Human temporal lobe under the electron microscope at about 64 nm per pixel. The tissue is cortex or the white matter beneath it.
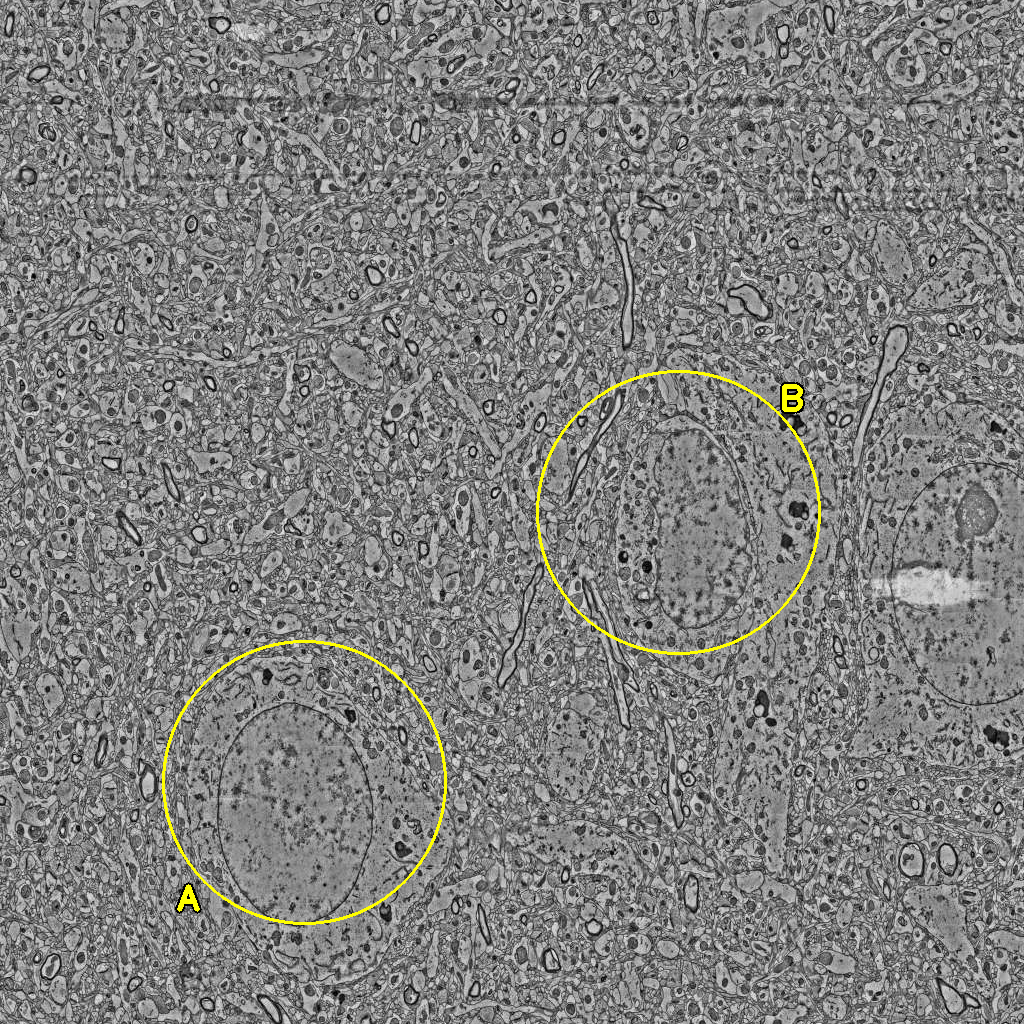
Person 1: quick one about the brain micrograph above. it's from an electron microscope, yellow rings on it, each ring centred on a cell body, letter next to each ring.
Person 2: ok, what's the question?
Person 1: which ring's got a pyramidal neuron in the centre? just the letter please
A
